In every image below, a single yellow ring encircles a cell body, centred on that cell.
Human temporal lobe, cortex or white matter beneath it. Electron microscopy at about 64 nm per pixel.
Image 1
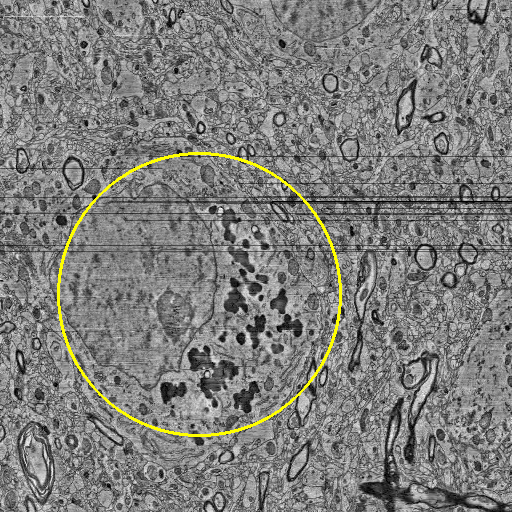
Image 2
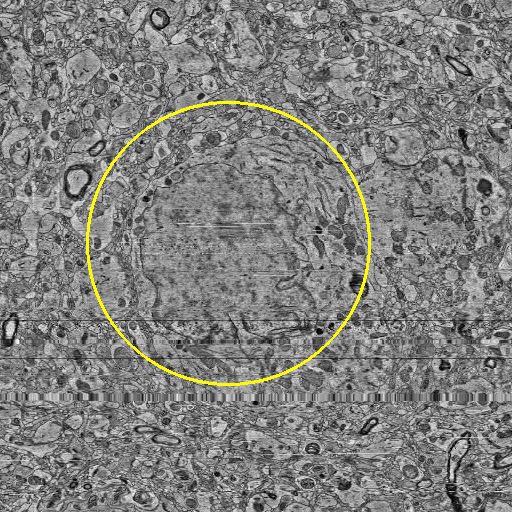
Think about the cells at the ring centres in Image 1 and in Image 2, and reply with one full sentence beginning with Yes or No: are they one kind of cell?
Yes, the cells centred in the rings of Image 1 and Image 2 are one kind of cell.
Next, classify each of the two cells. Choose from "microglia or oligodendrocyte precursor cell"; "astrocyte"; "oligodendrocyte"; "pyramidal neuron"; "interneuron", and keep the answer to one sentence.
In each of the two pictures, the ringed cell is an interneuron.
